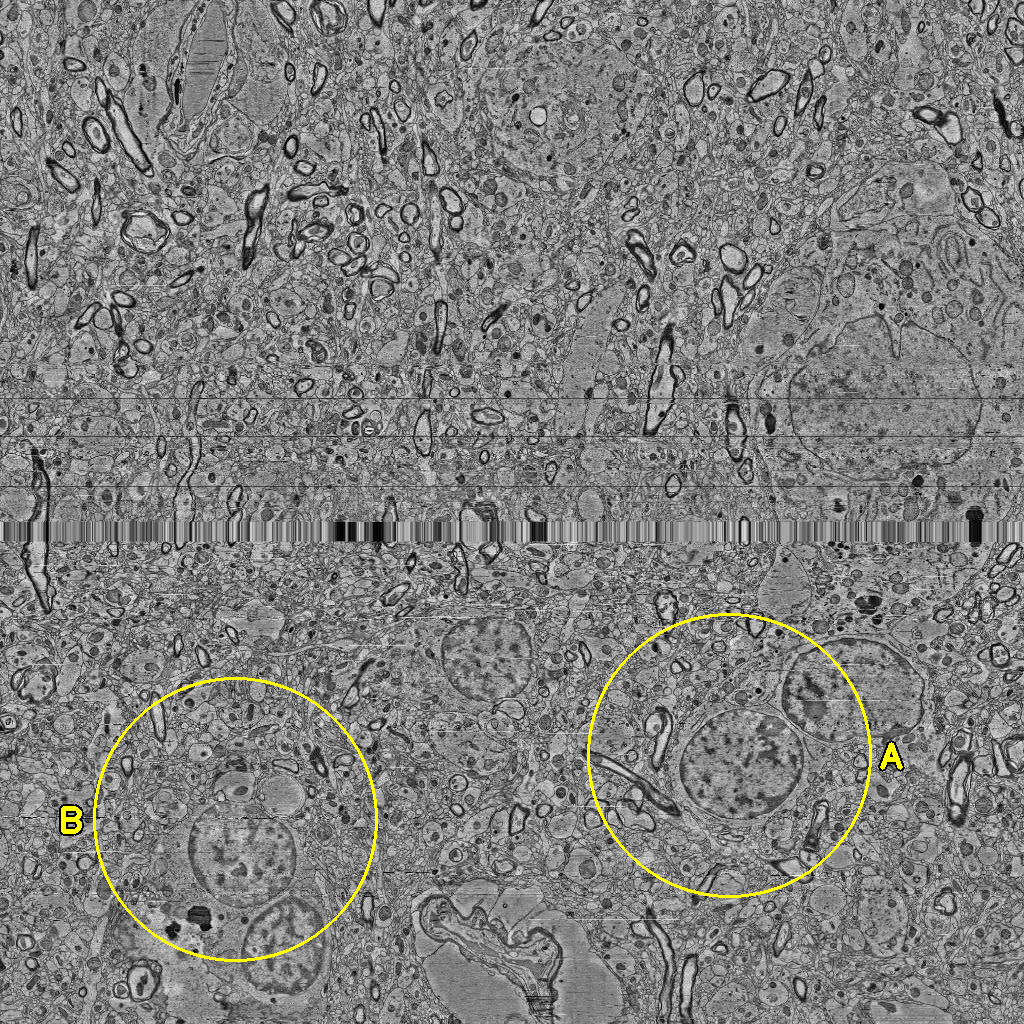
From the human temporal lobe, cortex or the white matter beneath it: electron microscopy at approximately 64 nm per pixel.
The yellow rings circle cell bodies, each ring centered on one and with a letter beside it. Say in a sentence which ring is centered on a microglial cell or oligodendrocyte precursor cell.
Ring A is centered on it.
